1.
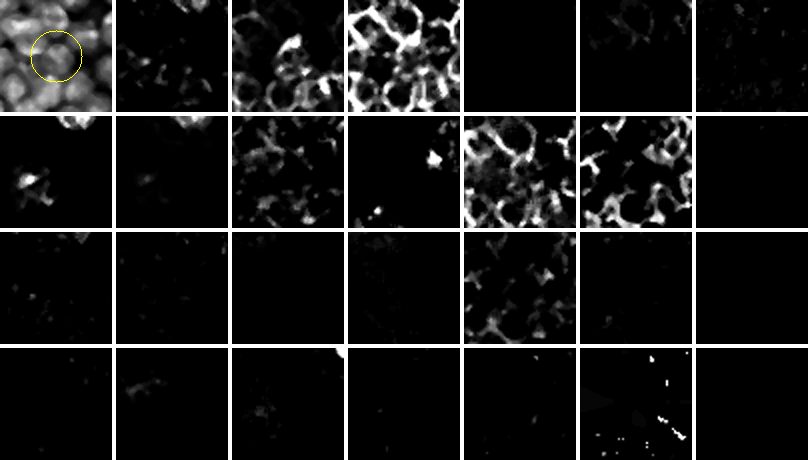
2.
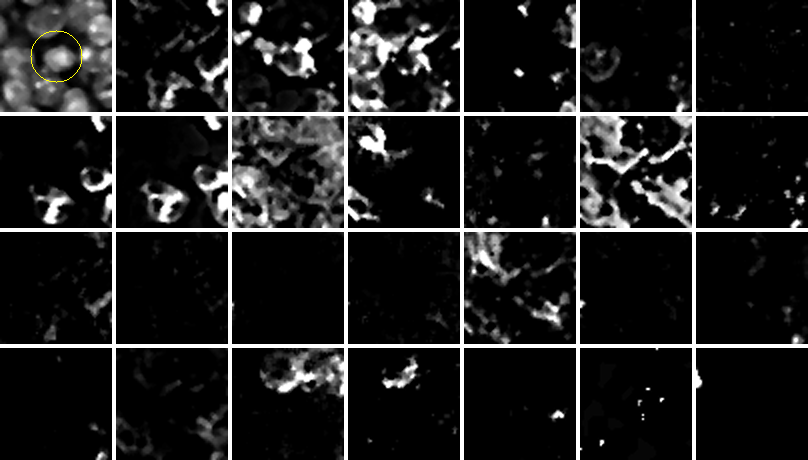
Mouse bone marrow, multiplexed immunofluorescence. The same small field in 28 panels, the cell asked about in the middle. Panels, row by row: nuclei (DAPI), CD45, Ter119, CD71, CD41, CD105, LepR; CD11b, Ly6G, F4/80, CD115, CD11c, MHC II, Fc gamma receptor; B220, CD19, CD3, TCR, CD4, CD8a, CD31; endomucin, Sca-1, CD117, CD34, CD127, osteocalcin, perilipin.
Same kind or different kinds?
Same: erythroblasts.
